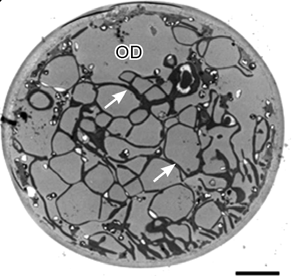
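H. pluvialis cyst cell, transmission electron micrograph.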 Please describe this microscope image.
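A round cell bounded by a thick wall is packed with many large, pale, evenly grey polygonal droplets pressed against one another. Between them runs a network of thin dark strands of cytoplasm, some drawn out into elongate bands. These pale bodies are large oil droplets, and the dark bands squeezed into the spaces between them are chloroplasts.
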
